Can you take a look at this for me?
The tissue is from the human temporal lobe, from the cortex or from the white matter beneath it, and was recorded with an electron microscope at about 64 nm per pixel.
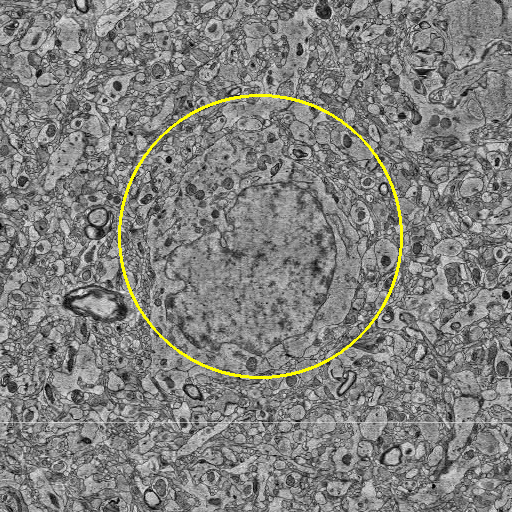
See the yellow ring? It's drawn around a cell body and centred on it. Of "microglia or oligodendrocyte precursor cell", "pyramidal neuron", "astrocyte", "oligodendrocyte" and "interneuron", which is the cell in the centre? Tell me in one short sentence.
The one in the centre is an interneuron.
